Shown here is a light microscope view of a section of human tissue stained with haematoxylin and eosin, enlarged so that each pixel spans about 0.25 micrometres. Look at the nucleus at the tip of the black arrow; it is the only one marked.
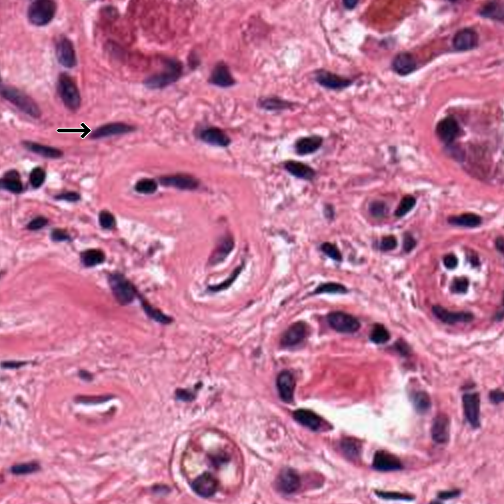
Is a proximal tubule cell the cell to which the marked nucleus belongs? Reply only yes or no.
no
